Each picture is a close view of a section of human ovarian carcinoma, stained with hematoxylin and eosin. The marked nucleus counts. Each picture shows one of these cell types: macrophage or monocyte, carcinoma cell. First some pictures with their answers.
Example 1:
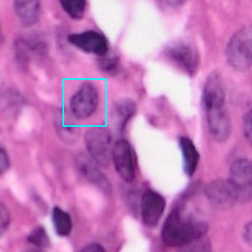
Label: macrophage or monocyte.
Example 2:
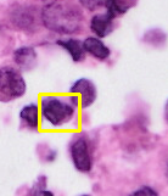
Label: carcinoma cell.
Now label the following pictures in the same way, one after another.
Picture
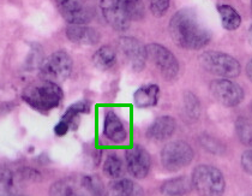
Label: carcinoma cell.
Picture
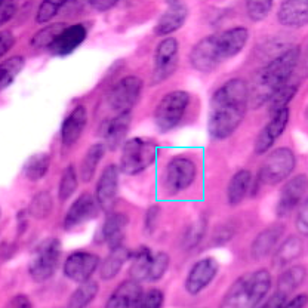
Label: macrophage or monocyte.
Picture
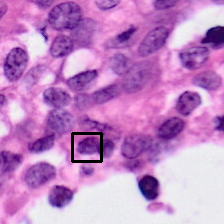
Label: carcinoma cell.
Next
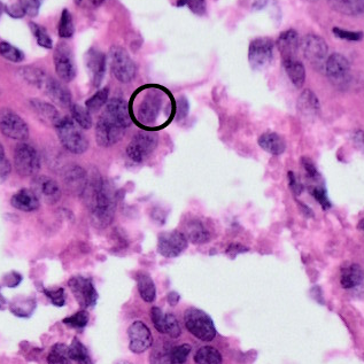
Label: carcinoma cell.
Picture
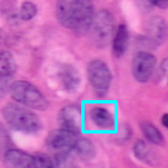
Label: macrophage or monocyte.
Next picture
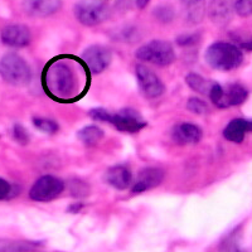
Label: carcinoma cell.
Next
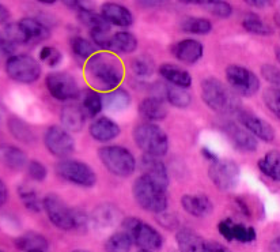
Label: carcinoma cell.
